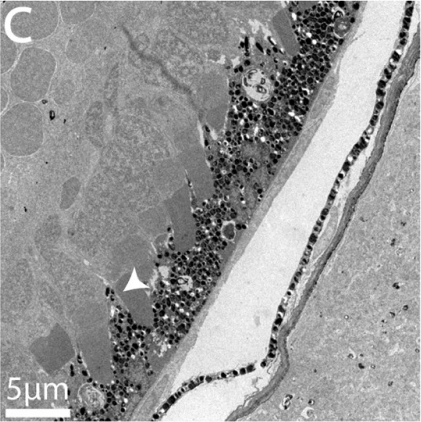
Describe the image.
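Here the outer retina again shows photoreceptor outer segments as dark, stacked, tapering blocks, running down toward the retinal pigment epithelium. The pigment epithelium forms a thick band packed with round, very dark pigment granules into which the outer segment tips reach. Alongside it runs a wide pale space bordered by a thin strip bearing a row of dark granules.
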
